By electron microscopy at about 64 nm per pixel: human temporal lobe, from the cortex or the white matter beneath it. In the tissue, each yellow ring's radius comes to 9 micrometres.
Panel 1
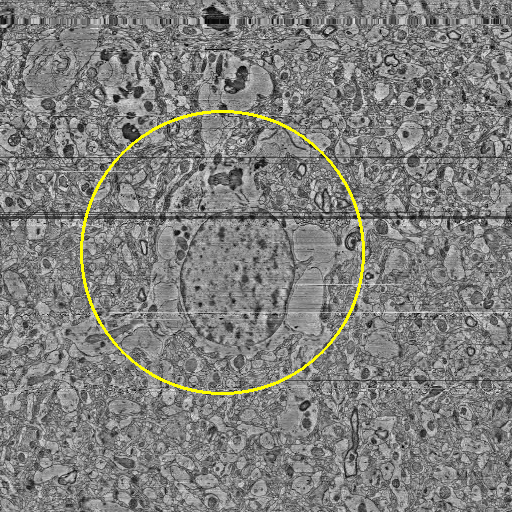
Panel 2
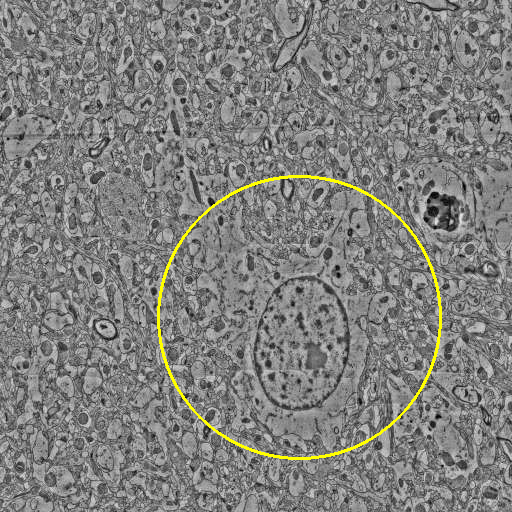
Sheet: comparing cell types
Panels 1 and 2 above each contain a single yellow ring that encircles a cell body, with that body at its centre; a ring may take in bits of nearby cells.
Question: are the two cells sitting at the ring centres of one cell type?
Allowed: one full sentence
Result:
Yes, the ring-centre cells in Panel 1 and Panel 2 are of one type.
